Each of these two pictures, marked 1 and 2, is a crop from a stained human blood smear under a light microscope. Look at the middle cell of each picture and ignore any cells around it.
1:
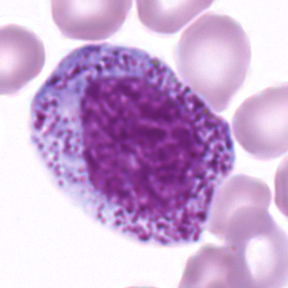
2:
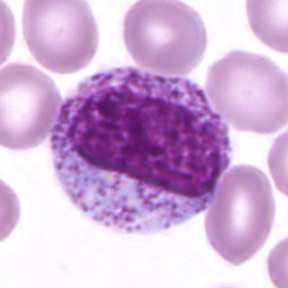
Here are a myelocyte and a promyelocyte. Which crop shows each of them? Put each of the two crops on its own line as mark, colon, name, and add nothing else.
1: promyelocyte
2: myelocyte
